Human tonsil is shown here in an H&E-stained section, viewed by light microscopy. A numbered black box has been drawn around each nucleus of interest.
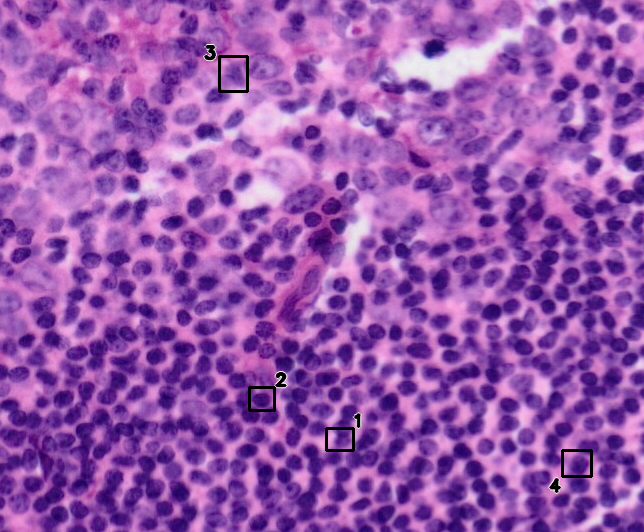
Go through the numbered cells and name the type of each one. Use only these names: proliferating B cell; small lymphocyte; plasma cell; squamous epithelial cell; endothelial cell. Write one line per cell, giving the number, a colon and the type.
1: small lymphocyte
2: small lymphocyte
3: proliferating B cell
4: small lymphocyte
